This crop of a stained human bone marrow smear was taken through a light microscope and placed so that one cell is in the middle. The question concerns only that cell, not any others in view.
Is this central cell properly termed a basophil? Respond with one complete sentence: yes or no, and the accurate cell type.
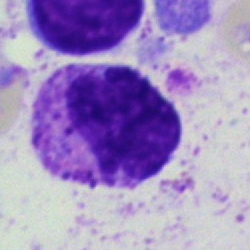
Yes, the middle of the crop is occupied by a basophil.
